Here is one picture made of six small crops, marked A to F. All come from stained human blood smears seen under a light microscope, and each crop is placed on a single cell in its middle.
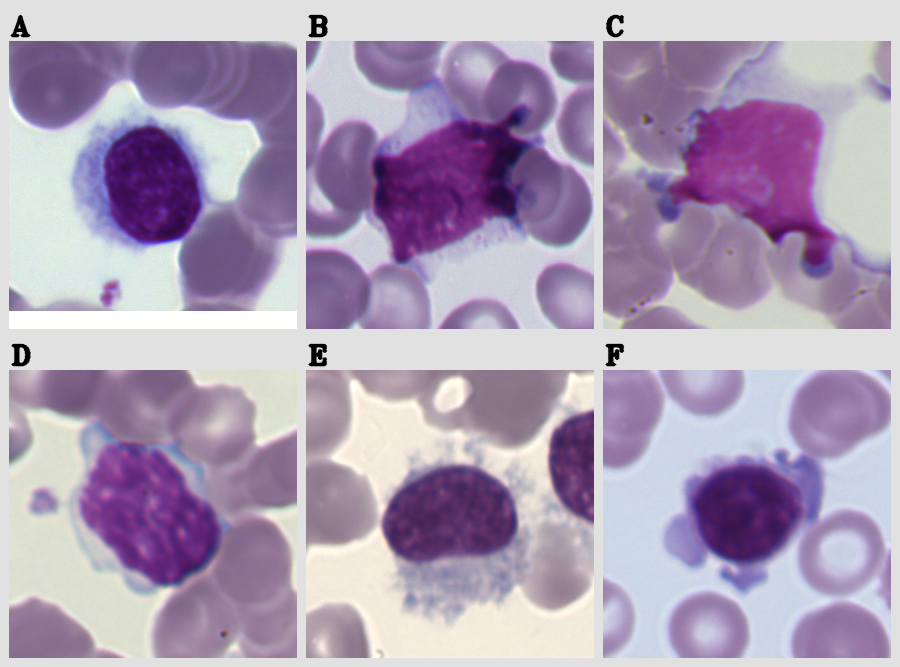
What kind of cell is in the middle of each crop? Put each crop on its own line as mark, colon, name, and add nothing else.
A: hairy cell
B: large granular lymphocyte
C: typical lymphocyte
D: typical lymphocyte
E: hairy cell
F: typical lymphocyte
